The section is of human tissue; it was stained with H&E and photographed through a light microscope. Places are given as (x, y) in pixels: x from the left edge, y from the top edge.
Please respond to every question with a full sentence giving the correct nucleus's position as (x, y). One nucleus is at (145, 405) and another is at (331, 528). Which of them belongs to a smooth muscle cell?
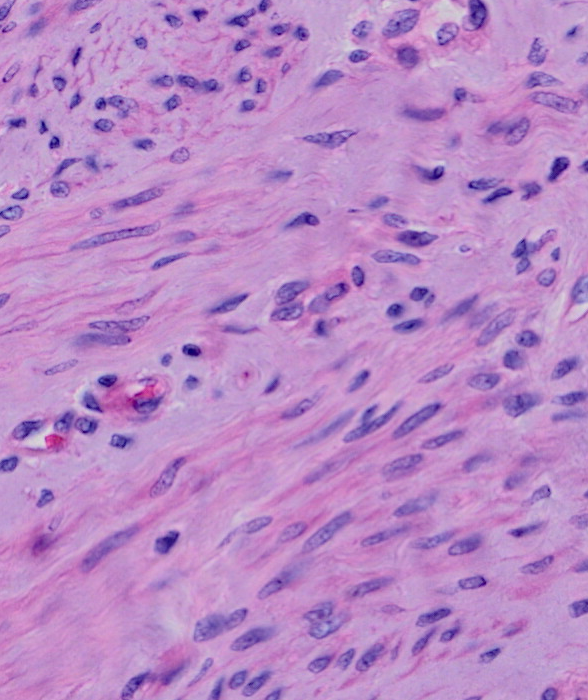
The nucleus at (331, 528) is assigned to a smooth muscle cell.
